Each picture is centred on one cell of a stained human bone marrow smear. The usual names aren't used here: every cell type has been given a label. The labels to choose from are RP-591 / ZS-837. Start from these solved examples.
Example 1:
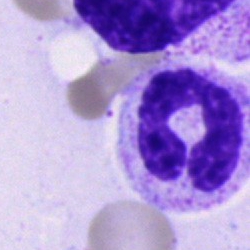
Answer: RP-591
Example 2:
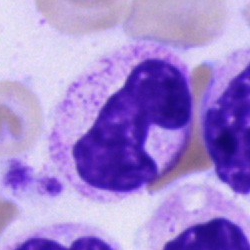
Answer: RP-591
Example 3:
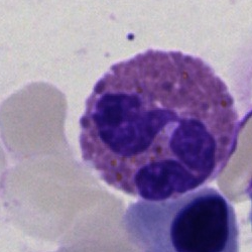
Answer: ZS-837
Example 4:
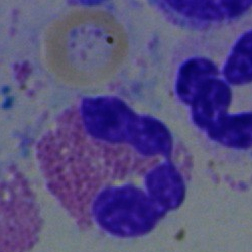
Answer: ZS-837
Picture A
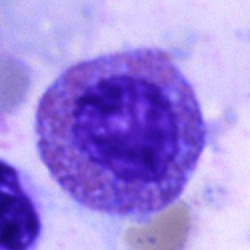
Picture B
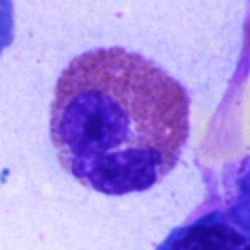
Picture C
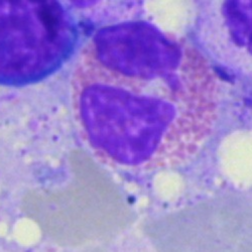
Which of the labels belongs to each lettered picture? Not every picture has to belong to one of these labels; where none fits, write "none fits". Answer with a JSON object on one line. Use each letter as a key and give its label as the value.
{"A": "ZS-837", "B": "ZS-837", "C": "ZS-837"}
